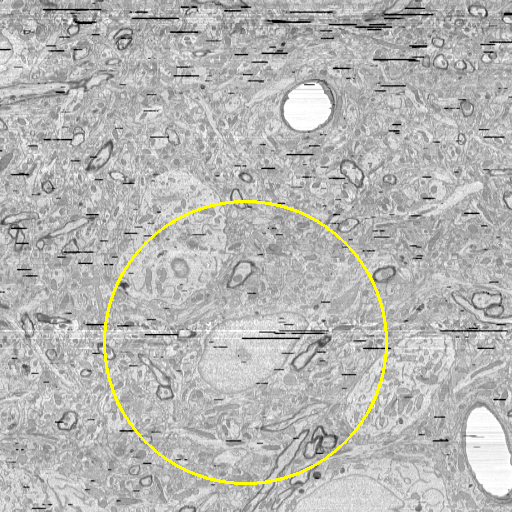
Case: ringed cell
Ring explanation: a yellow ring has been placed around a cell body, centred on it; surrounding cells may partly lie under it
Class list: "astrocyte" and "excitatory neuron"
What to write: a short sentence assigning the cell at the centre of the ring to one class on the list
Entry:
The cell at the ring's centre is an astrocyte.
